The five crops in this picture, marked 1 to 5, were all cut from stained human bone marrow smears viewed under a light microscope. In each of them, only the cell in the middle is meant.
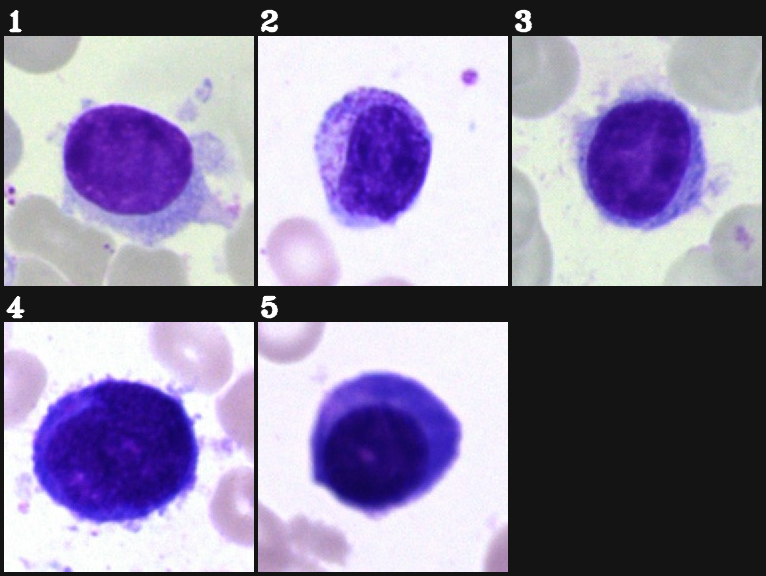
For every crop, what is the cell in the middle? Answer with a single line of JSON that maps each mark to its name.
{"1": "hairy cell", "2": "myelocyte", "3": "hairy cell", "4": "blast", "5": "plasma cell"}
